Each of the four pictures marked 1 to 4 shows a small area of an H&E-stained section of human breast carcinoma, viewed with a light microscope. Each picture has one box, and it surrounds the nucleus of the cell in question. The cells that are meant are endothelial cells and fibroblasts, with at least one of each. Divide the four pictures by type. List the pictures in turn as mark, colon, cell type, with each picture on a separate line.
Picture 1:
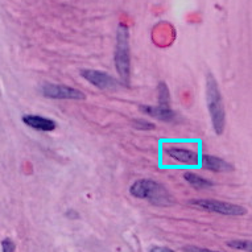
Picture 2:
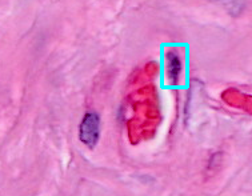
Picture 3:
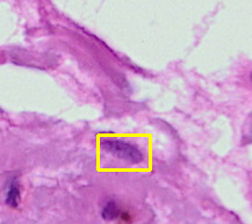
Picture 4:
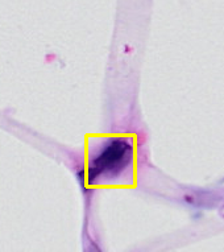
1: endothelial cell
2: endothelial cell
3: fibroblast
4: endothelial cell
